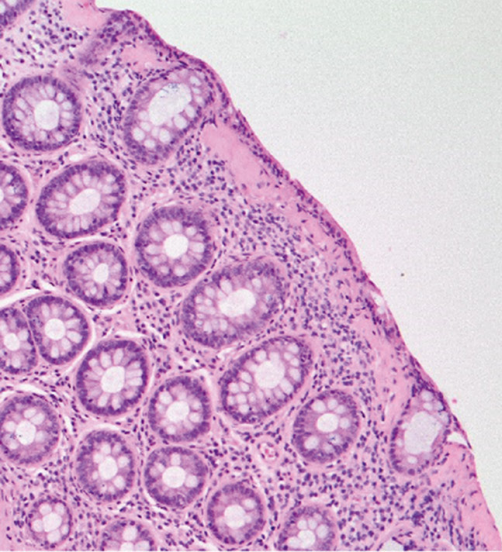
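This is colonic mucosa cut across the crypts, which appear as round glands lined by columnar cells with many clear goblet cells around small central lumens. Directly under the surface lies a thick, glassy pink band with few nuclei, separating the surface lining from the mucosa beneath. The surface cells on top of this band are low and flattened and have lost their mucin vacuoles. Between the crypts the lamina propria holds a dense mix of inflammatory cells.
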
